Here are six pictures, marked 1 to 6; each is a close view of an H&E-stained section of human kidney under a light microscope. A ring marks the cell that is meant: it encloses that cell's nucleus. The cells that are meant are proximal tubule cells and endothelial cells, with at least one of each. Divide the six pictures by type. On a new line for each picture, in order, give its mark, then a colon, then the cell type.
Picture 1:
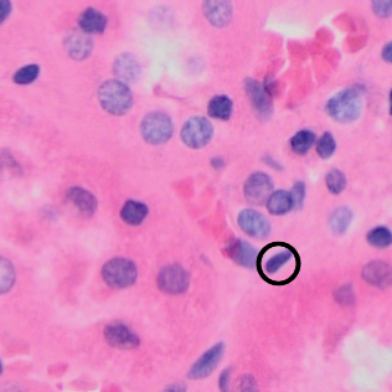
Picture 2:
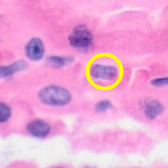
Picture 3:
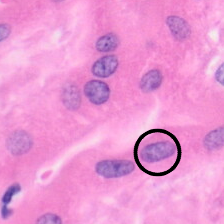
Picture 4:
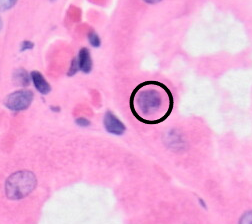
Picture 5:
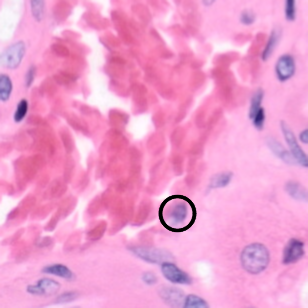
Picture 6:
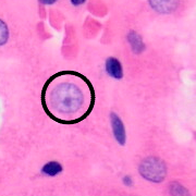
1: endothelial cell
2: endothelial cell
3: proximal tubule cell
4: proximal tubule cell
5: endothelial cell
6: proximal tubule cell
